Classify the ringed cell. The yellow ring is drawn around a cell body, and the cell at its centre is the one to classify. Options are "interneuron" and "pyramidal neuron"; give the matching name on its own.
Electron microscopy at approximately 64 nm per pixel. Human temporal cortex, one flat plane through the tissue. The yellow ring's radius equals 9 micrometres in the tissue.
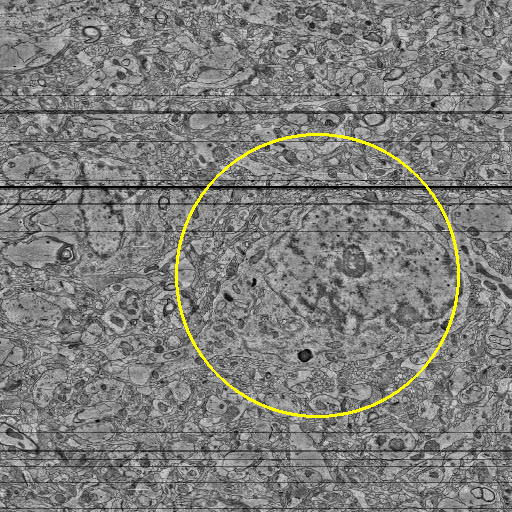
interneuron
